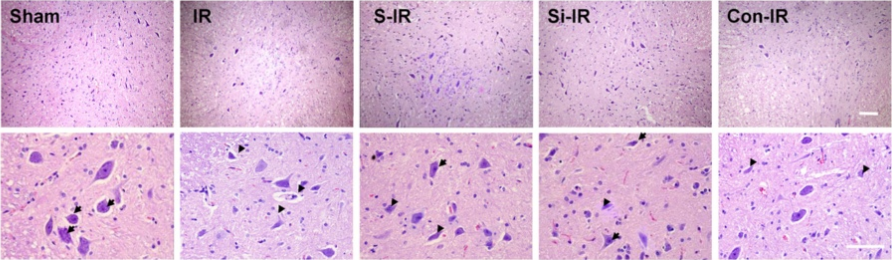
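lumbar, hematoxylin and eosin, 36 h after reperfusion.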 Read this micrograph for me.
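This is the gray matter of the spinal cord's ventral horn, where large motor neurons lie scattered among many small nuclei in a pink background. In some fields the large neurons are angular, with purple, finely granular cytoplasm and processes leaving the cell body.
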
